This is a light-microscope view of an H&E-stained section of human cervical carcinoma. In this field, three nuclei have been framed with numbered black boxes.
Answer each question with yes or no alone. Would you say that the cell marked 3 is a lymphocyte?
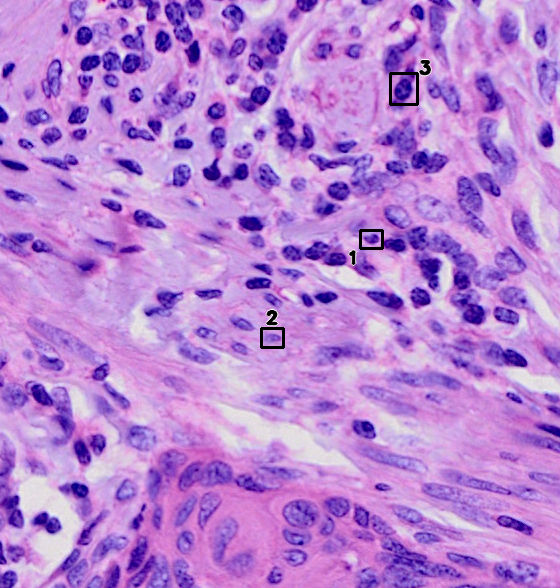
yes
